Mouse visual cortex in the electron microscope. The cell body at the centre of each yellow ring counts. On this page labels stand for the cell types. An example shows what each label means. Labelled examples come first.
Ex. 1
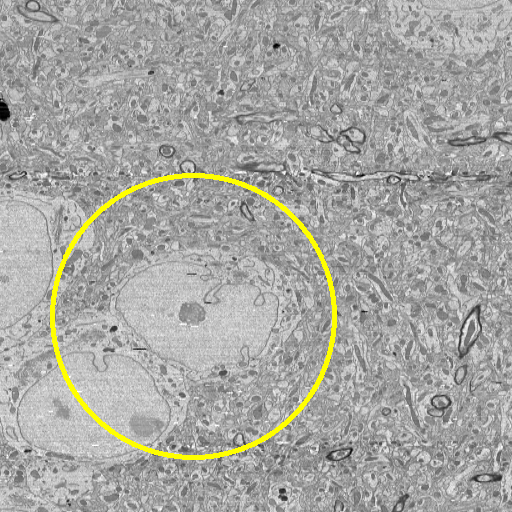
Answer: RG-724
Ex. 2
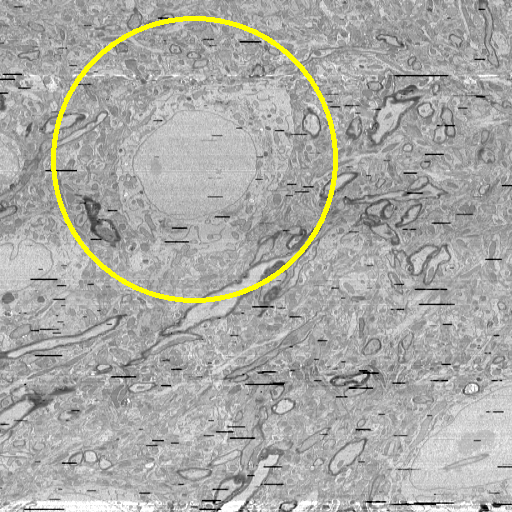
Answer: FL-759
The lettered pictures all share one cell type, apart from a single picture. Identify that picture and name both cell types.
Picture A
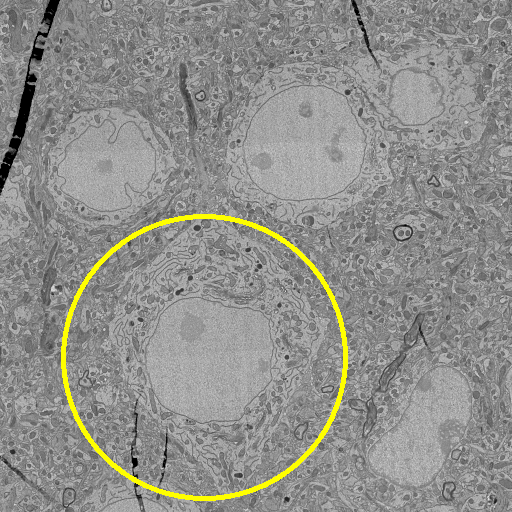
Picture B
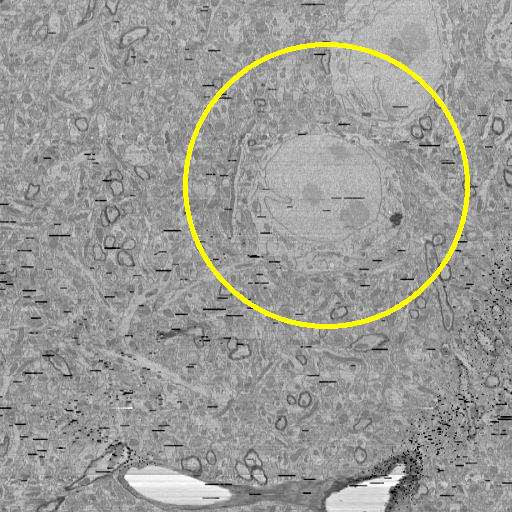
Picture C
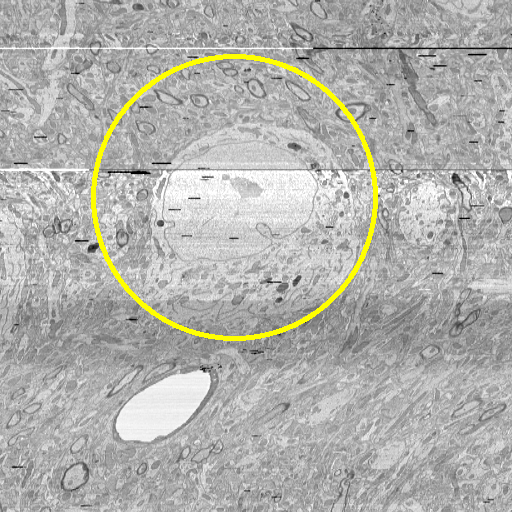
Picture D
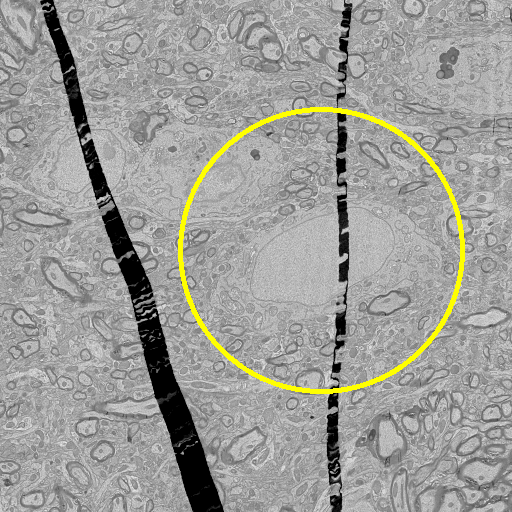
Exception: A, showing RG-724. Remaining pictures: FL-759.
